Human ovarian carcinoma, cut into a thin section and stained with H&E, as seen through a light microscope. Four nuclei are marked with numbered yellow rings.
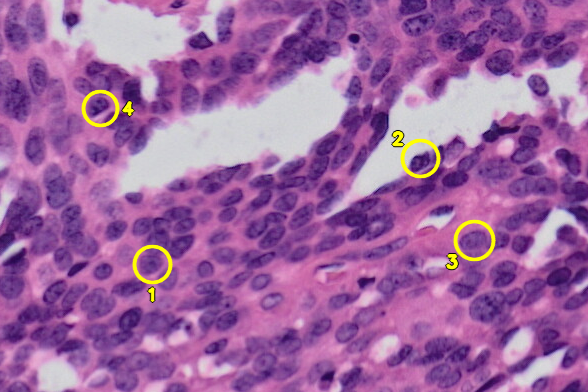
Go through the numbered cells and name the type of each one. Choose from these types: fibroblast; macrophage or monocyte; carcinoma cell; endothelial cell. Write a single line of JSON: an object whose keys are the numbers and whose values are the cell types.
{"1": "carcinoma cell", "2": "carcinoma cell", "3": "carcinoma cell", "4": "macrophage or monocyte"}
